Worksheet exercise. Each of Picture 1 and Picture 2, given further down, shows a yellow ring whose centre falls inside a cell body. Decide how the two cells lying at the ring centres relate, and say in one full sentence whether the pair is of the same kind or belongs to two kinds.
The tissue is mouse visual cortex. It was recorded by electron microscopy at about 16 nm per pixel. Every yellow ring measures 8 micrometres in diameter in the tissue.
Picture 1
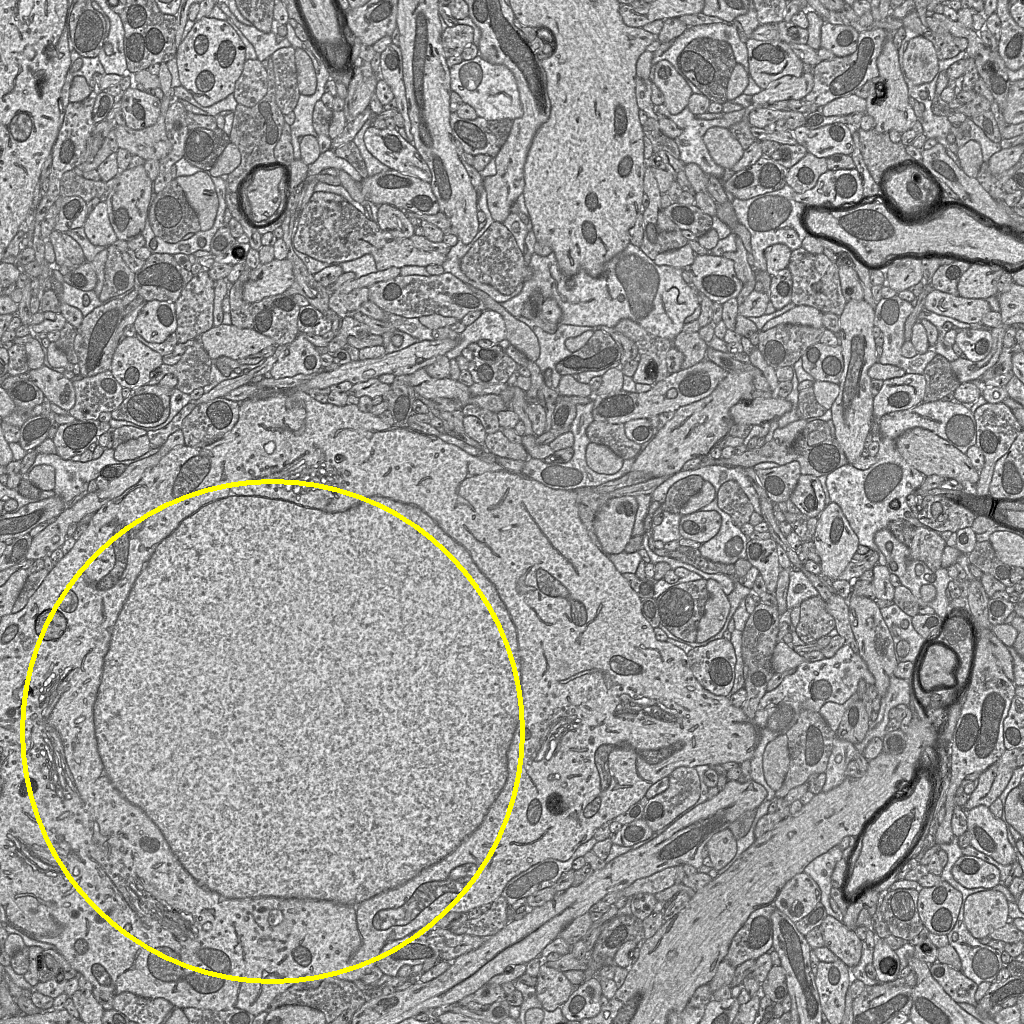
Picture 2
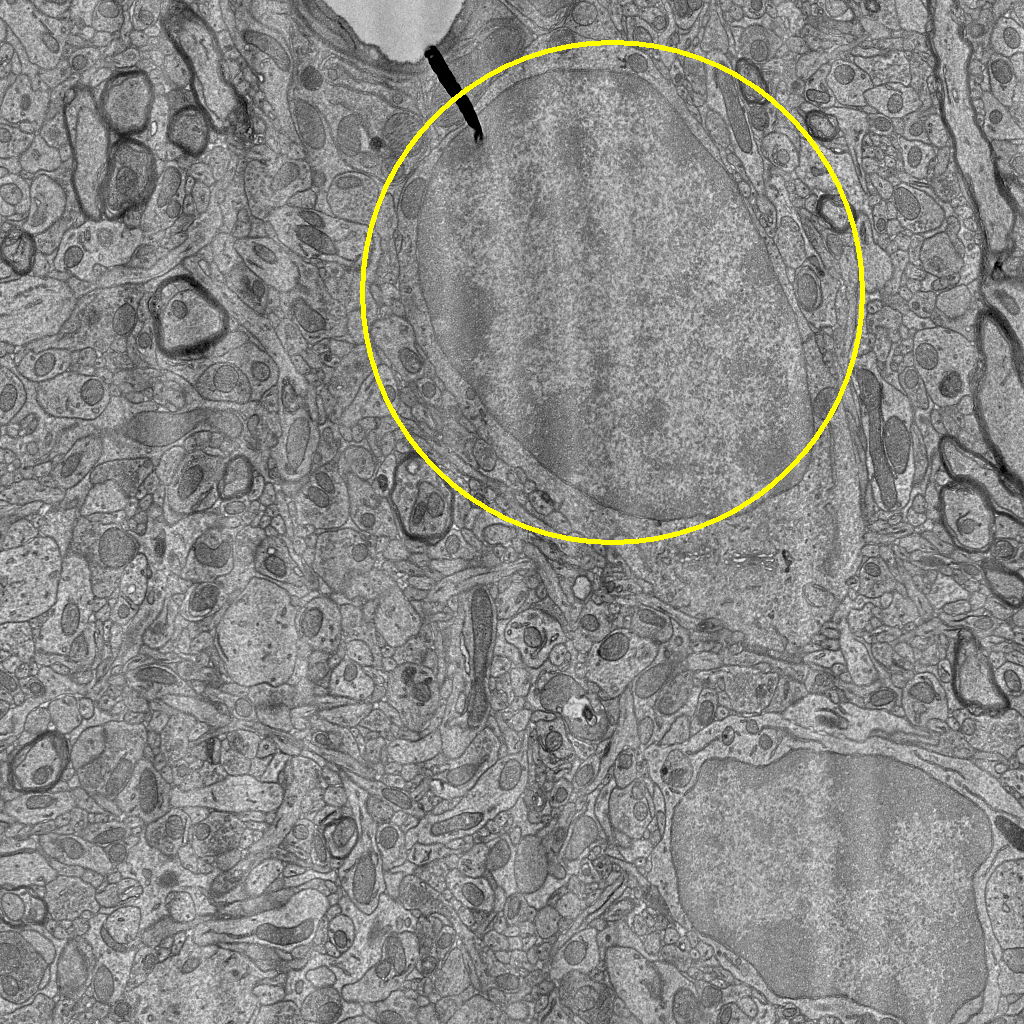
The cells at the ring centres in Picture 1 and Picture 2 belong to two kinds.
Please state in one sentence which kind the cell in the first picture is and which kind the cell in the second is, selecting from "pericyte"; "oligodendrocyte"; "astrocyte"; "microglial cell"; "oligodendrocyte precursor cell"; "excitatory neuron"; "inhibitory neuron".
In the first picture we have an excitatory neuron, and in the second, an oligodendrocyte.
